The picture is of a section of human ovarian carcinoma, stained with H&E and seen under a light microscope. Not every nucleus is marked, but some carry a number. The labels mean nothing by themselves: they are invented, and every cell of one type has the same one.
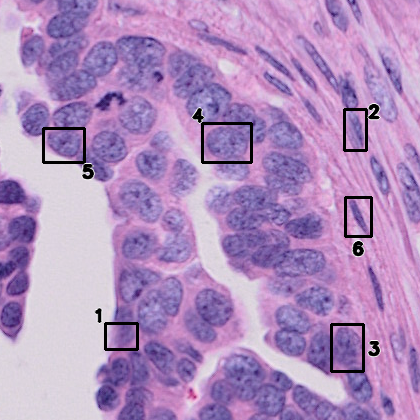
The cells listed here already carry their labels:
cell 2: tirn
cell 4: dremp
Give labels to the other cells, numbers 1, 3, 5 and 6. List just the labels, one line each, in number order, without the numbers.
dremp
dremp
dremp
tirn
